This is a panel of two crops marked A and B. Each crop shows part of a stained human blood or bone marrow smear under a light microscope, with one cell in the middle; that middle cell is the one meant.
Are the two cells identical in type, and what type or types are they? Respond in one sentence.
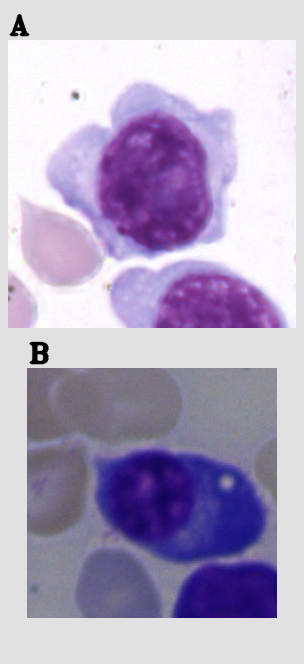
Yes, plasma cells are depicted in both crops.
